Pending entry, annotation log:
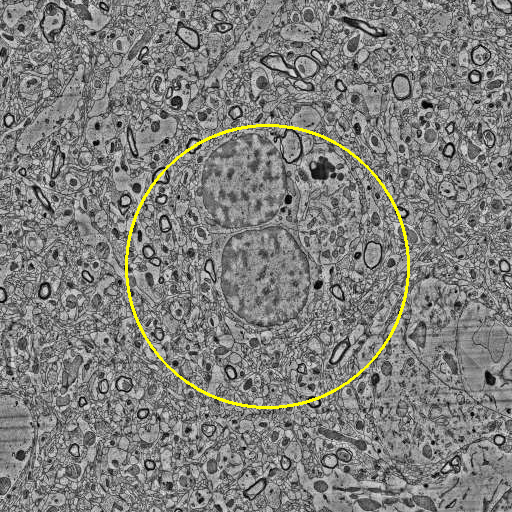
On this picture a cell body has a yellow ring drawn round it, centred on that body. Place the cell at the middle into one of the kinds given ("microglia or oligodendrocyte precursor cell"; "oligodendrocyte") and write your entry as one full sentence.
The cell body at the middle of the yellow ring belongs to an oligodendrocyte.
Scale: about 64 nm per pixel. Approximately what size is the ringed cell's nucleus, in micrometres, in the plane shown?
The ringed cell's nucleus is about 6 micrometres across in this plane.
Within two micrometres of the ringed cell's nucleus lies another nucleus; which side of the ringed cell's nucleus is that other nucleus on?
The second nucleus is above it.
